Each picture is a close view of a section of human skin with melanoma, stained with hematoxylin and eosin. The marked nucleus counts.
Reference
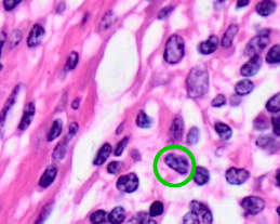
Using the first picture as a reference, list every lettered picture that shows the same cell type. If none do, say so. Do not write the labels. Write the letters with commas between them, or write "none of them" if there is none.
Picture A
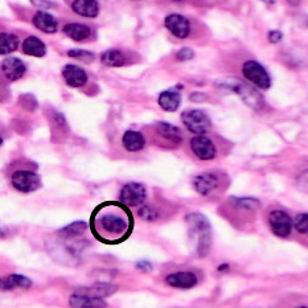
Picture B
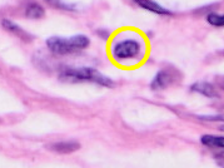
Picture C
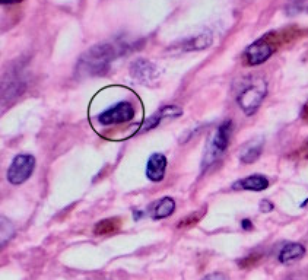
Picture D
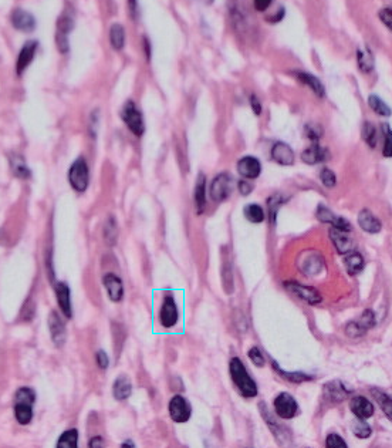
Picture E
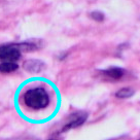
B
